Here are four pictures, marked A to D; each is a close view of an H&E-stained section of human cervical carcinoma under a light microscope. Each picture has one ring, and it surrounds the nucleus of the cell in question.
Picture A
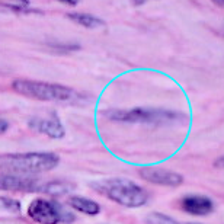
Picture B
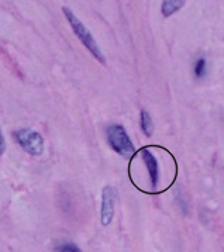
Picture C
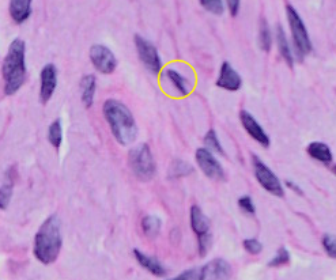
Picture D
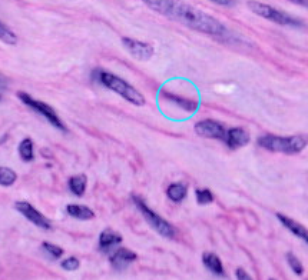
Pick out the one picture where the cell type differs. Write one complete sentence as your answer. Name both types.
Unlike the rest, which show fibroblasts, picture D shows a smooth muscle cell.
